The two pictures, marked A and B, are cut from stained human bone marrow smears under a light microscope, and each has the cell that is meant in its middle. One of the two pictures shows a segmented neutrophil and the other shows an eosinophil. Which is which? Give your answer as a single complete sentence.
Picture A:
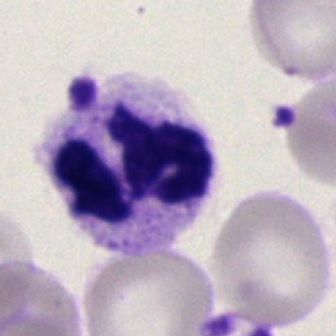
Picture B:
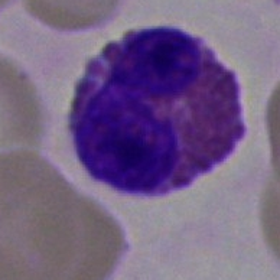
Picture A is of a segmented neutrophil, and picture B is of an eosinophil.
